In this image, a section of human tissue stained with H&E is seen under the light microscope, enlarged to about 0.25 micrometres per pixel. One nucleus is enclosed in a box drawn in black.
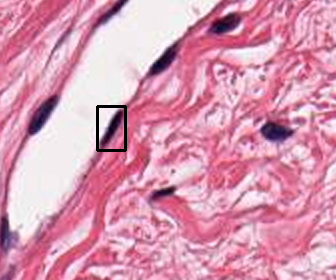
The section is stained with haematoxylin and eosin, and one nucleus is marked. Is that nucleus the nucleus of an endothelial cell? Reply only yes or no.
yes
